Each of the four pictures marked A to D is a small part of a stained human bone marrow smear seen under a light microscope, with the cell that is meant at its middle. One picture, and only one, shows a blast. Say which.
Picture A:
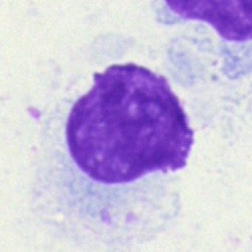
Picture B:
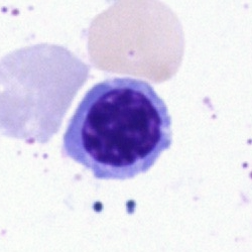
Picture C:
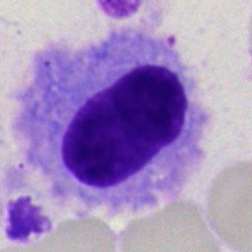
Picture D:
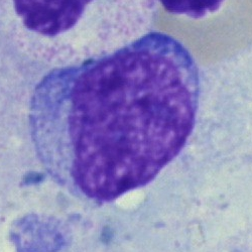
D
